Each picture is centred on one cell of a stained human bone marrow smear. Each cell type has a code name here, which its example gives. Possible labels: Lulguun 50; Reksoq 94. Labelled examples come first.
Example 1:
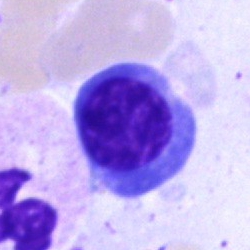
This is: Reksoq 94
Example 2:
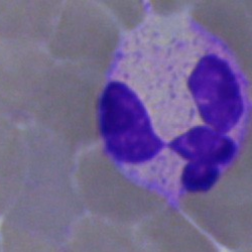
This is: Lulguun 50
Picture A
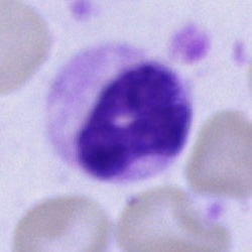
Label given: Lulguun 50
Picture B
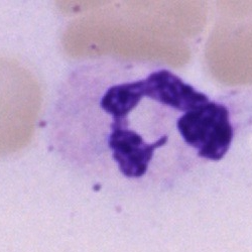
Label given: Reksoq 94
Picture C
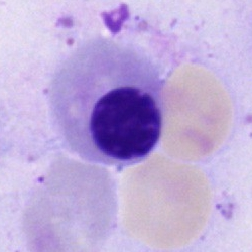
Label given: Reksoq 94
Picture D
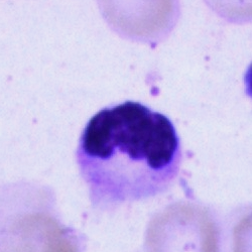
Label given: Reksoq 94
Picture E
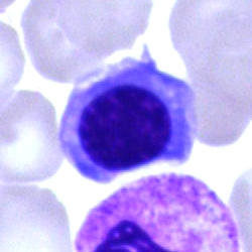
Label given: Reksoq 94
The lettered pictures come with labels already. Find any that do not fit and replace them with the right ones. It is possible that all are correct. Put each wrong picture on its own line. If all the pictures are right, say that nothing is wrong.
B: Lulguun 50, not Reksoq 94
D: Lulguun 50, not Reksoq 94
